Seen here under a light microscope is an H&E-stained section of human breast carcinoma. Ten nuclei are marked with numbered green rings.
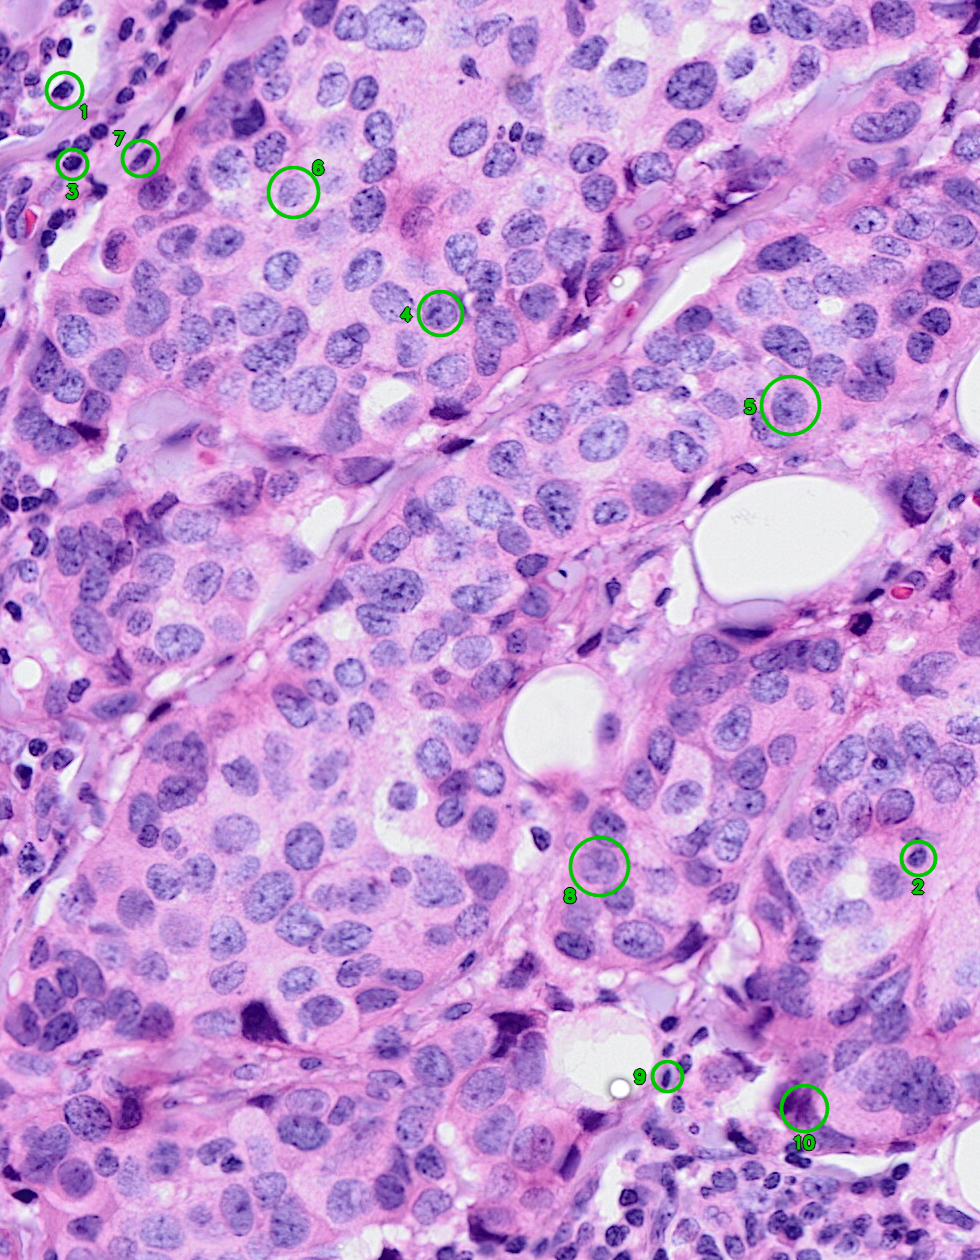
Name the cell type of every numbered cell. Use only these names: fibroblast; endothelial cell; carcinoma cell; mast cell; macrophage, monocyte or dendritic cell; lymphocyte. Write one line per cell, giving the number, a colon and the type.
1: lymphocyte
2: lymphocyte
3: lymphocyte
4: carcinoma cell
5: carcinoma cell
6: carcinoma cell
7: lymphocyte
8: carcinoma cell
9: lymphocyte
10: carcinoma cell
